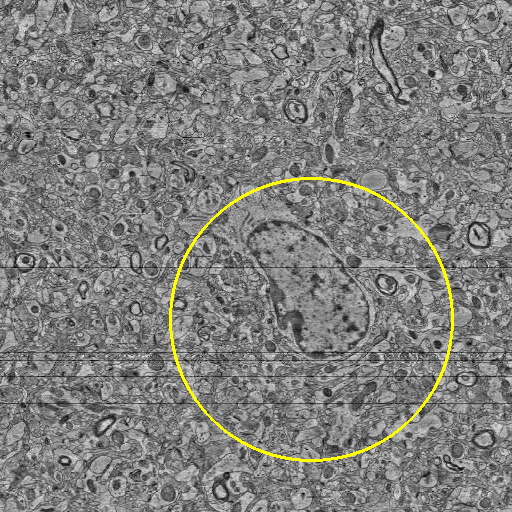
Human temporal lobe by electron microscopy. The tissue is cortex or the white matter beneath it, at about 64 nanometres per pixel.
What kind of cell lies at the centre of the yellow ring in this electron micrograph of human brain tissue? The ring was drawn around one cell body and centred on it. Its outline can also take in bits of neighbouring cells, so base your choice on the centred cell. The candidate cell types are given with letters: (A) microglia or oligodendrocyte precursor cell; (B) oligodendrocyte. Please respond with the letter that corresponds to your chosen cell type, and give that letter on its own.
A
